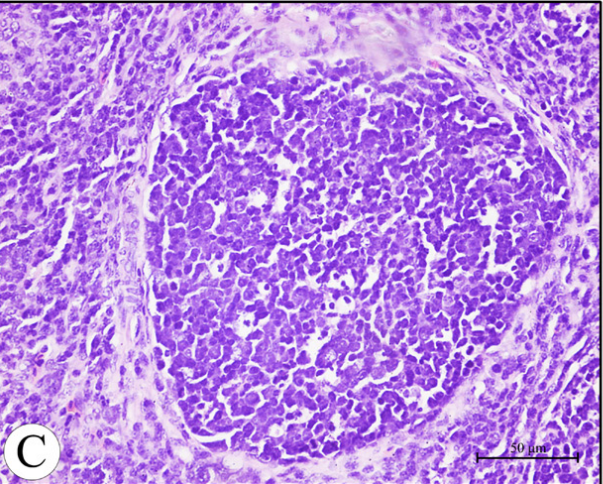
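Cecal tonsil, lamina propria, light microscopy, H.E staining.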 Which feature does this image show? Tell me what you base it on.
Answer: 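A large rounded mass of densely packed small cells with dark round nuclei. The mass is surrounded by a thin rim of pale, elongated fibrous cells separating it from surrounding tissue.
Answer: lymphatic nodules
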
